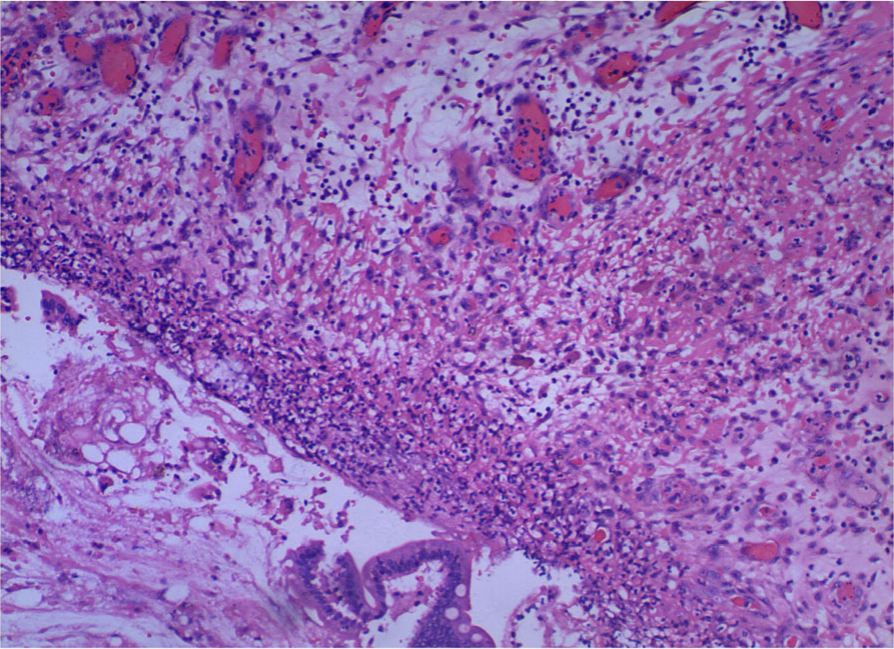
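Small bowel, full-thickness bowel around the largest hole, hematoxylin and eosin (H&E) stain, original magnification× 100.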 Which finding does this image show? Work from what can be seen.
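Neutrophil infiltration. A dense band of small cells with dark, compact nuclei runs diagonally across the tissue. Many similar small dark-nucleated cells are scattered through the pale loose stroma above the band.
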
